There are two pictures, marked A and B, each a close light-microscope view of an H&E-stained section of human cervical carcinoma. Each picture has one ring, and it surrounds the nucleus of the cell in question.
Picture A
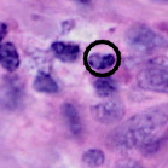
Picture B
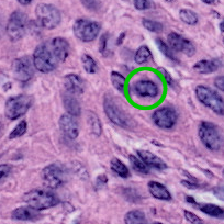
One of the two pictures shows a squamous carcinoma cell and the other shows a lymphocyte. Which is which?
A: lymphocyte
B: squamous carcinoma cell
